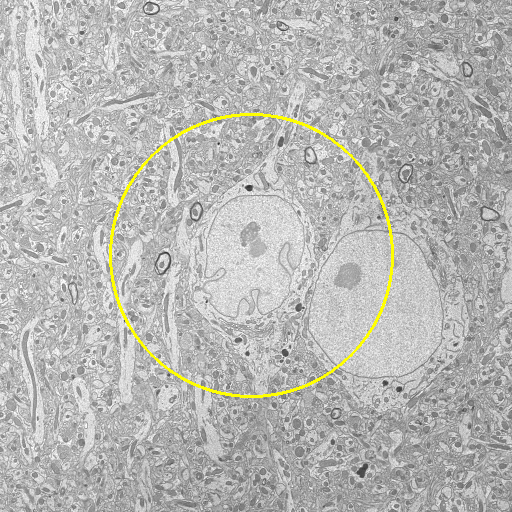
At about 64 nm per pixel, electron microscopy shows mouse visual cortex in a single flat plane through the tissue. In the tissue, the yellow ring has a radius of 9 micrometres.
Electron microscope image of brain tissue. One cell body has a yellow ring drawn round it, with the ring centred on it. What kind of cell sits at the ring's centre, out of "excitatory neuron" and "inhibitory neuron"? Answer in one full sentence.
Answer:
It is an inhibitory neuron whose cell body sits at the centre of the yellow ring.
